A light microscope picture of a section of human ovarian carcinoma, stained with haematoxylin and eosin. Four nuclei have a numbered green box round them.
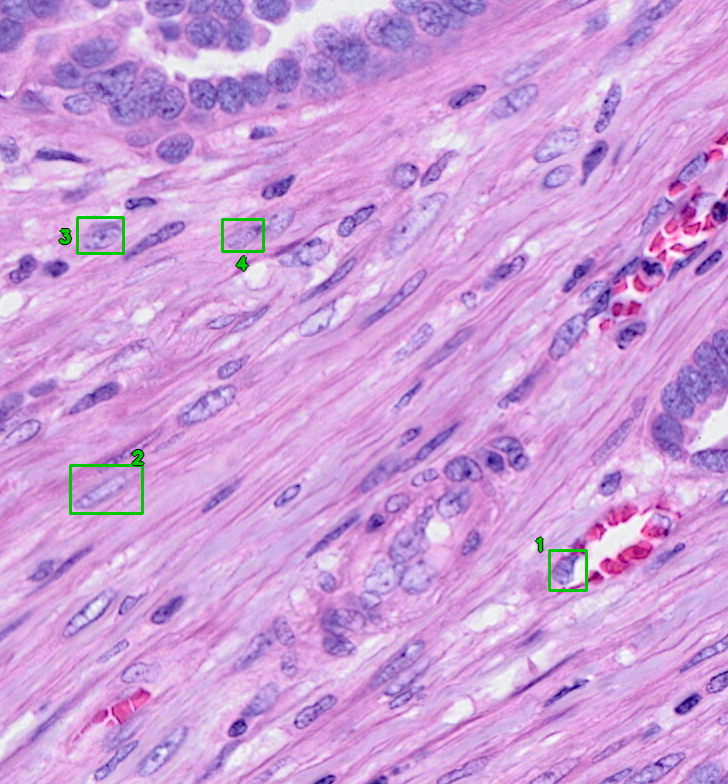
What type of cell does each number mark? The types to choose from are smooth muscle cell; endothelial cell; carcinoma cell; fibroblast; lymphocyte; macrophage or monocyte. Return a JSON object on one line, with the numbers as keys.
{"1": "endothelial cell", "2": "fibroblast", "3": "fibroblast", "4": "fibroblast"}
